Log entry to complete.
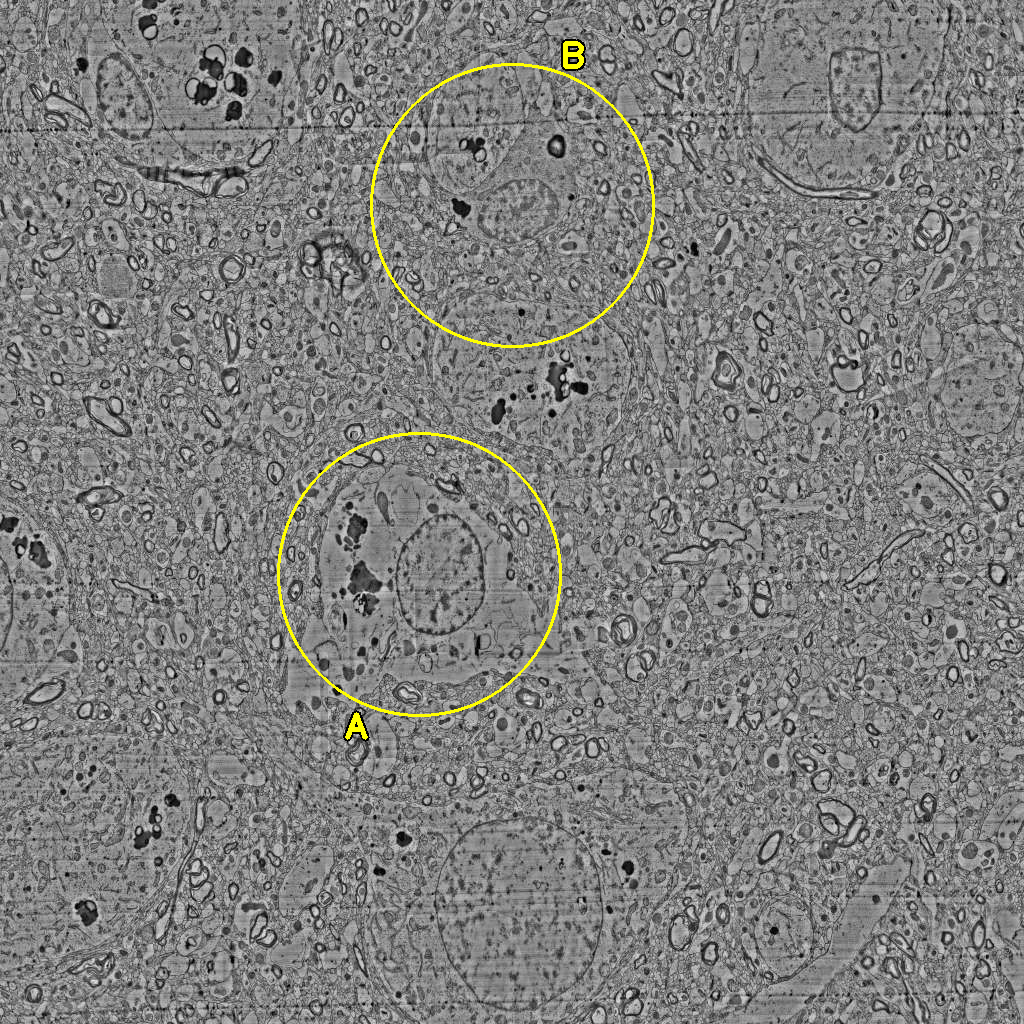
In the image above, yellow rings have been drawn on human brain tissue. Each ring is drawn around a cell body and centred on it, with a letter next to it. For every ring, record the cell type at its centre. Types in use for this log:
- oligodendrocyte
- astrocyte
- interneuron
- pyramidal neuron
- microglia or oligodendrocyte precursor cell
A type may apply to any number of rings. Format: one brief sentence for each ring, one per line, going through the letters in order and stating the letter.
In ring A, the centred cell is an astrocyte.
In ring B, the centred cell is an oligodendrocyte.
